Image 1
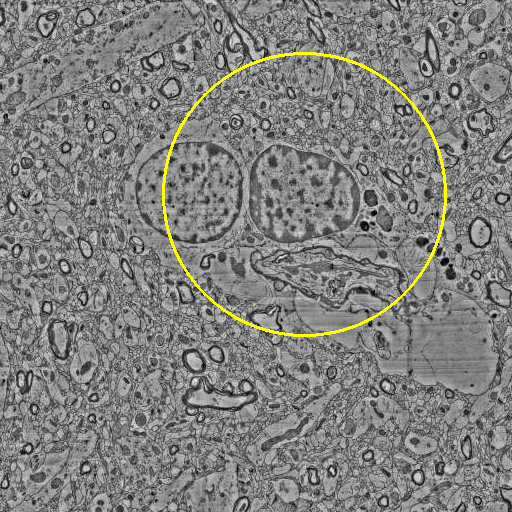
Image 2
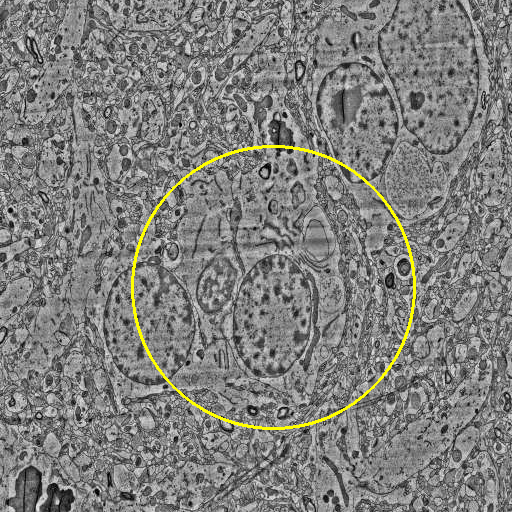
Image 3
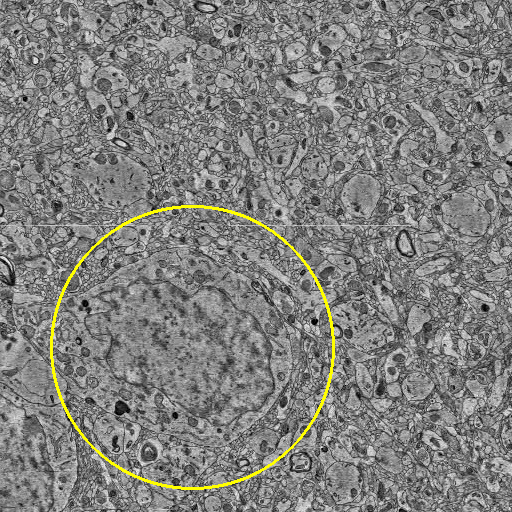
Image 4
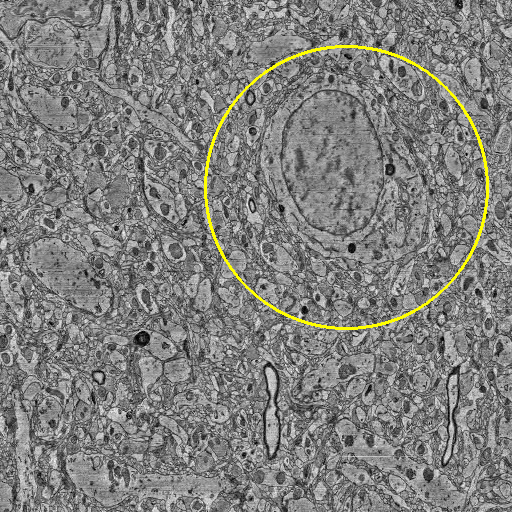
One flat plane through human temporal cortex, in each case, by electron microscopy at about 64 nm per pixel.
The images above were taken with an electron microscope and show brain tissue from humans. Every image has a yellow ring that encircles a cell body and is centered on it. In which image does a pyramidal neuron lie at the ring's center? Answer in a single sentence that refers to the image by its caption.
In Image 4, the cell at the center of the yellow ring is the correct match.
